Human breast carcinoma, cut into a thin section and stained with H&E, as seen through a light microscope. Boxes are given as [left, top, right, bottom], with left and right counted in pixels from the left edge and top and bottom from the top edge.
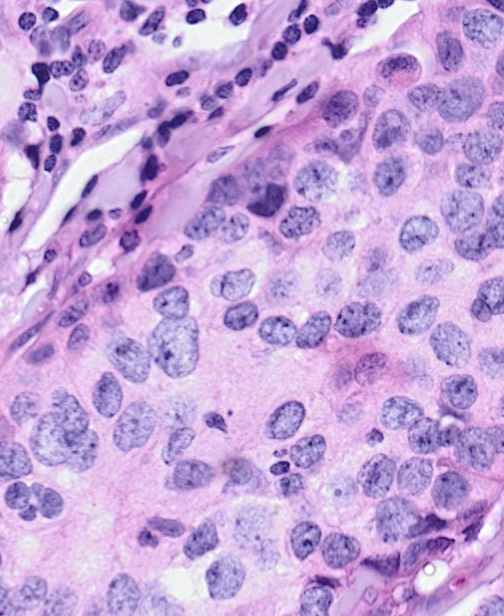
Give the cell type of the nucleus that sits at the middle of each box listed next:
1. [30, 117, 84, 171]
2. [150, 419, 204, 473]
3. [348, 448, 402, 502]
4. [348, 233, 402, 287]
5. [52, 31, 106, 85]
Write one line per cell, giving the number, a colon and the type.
1: lymphocyte
2: carcinoma cell
3: carcinoma cell
4: carcinoma cell
5: lymphocyte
